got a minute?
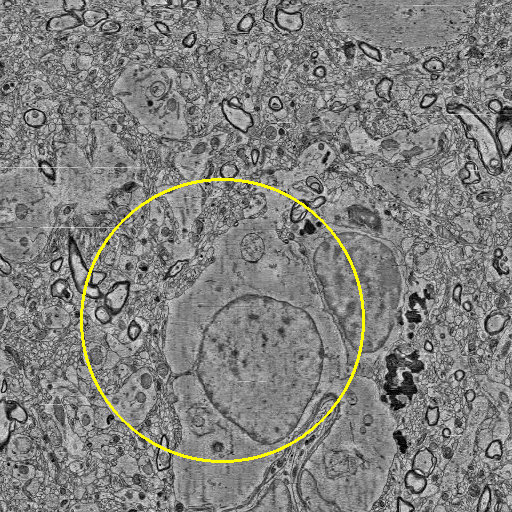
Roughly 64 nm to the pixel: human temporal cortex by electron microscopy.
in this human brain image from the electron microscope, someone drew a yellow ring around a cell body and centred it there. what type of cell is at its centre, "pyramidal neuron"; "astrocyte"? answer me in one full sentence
It's an astrocyte at the middle of that yellow ring in the shot.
